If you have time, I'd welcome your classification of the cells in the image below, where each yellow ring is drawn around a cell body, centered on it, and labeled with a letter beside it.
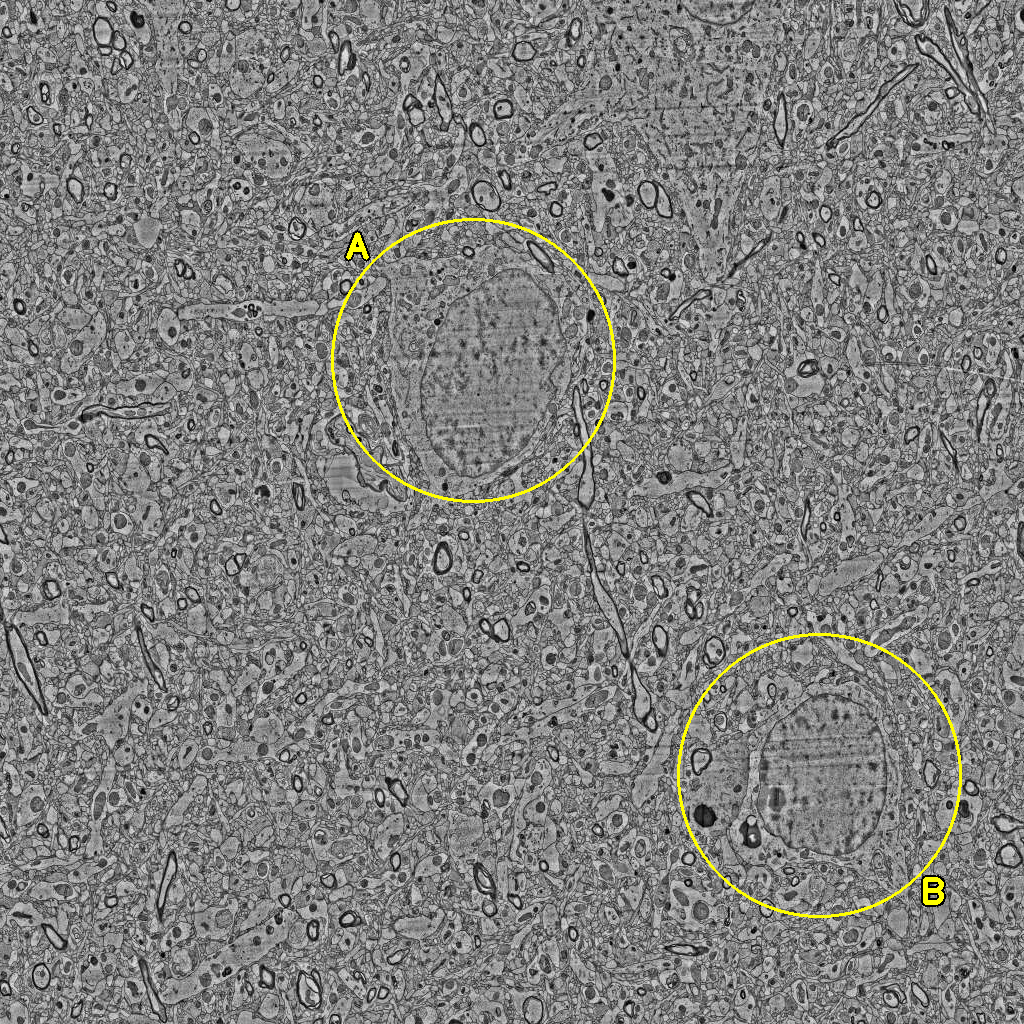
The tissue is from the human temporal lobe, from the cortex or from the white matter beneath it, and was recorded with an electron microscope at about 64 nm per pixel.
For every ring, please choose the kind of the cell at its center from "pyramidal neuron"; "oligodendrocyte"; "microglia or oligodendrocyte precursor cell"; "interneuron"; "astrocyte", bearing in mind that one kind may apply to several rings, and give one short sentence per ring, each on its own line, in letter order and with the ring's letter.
At the center of ring A is an interneuron.
At the center of ring B is an interneuron.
